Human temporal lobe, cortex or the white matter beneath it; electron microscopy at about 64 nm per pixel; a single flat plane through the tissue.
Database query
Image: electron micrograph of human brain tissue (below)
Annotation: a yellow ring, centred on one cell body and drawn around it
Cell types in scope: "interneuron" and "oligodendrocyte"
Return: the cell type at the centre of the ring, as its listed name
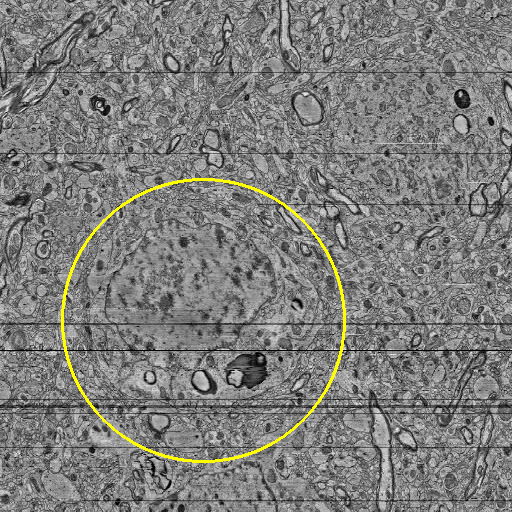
interneuron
